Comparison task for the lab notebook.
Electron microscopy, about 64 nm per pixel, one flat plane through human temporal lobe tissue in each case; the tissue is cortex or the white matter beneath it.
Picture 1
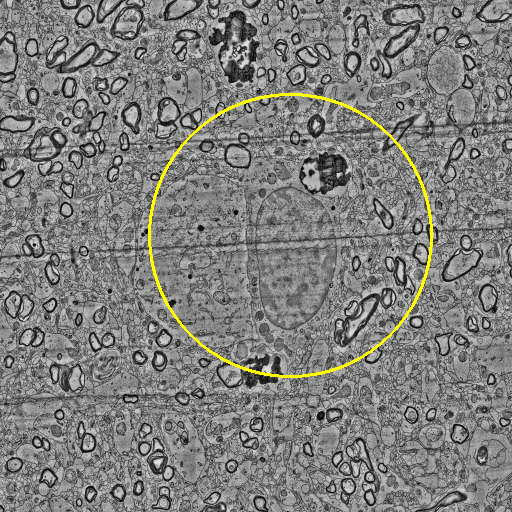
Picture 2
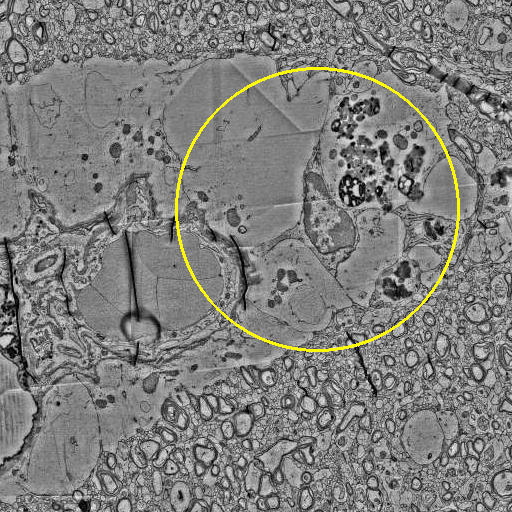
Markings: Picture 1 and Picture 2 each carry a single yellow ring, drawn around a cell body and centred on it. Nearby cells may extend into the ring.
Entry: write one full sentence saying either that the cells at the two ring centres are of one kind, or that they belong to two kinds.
The cells sitting at the ring centres in Picture 1 and Picture 2 belong to two kinds.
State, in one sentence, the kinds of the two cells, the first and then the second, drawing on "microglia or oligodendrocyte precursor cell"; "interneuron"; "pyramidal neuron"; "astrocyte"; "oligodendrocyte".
The ring in the second picture is centred on a microglial cell or oligodendrocyte precursor cell, the ring in the first on an oligodendrocyte.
